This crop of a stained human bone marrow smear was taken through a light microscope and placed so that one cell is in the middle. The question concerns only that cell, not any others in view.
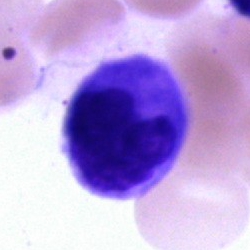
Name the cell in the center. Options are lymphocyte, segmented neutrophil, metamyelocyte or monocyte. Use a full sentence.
On this slide crop, the central cell is a monocyte.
